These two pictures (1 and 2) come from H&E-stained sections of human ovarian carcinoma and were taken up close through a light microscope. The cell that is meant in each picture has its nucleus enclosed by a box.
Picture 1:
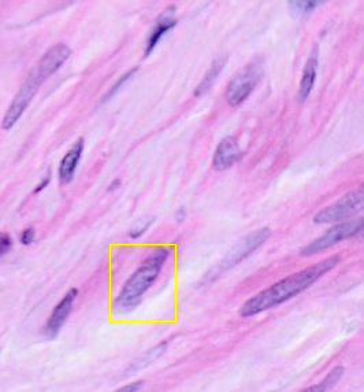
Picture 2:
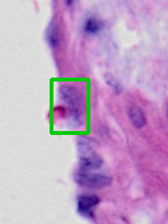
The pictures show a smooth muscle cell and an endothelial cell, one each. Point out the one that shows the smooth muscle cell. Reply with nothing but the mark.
1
